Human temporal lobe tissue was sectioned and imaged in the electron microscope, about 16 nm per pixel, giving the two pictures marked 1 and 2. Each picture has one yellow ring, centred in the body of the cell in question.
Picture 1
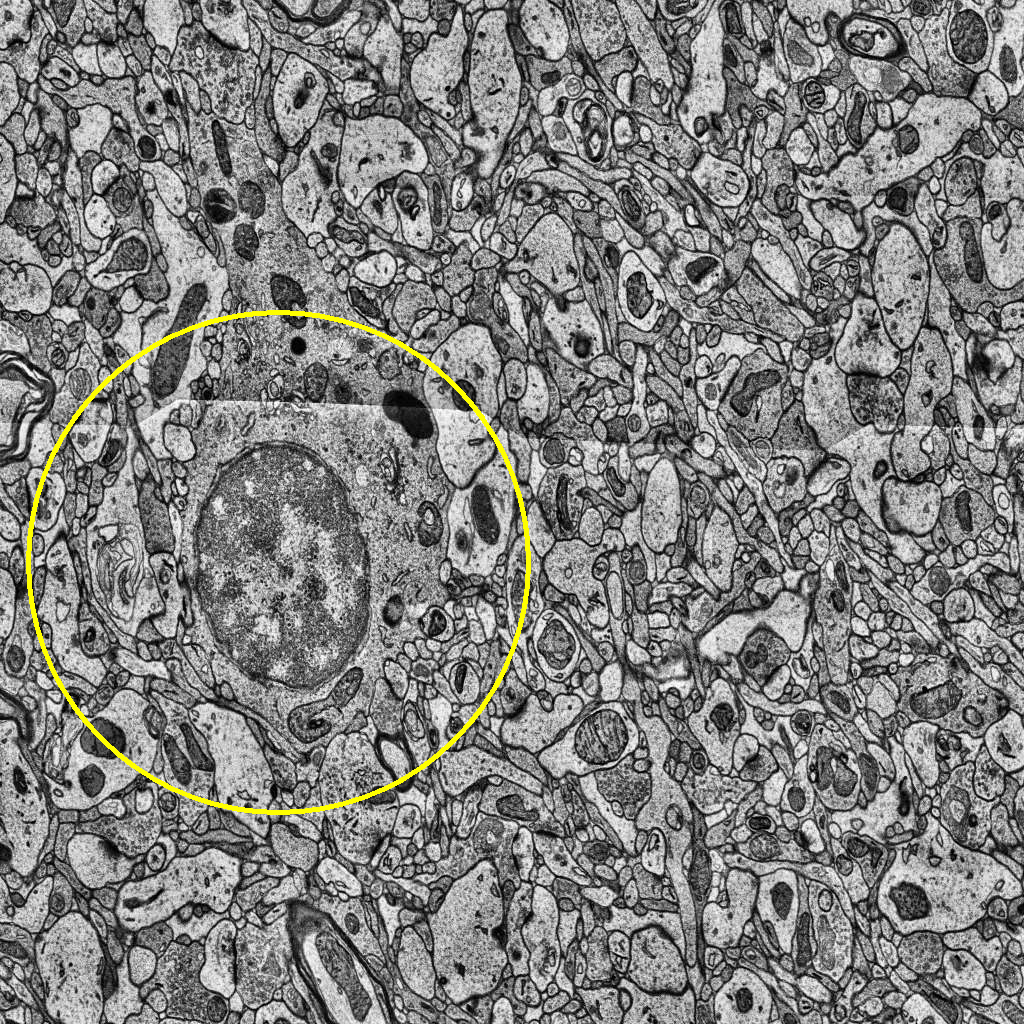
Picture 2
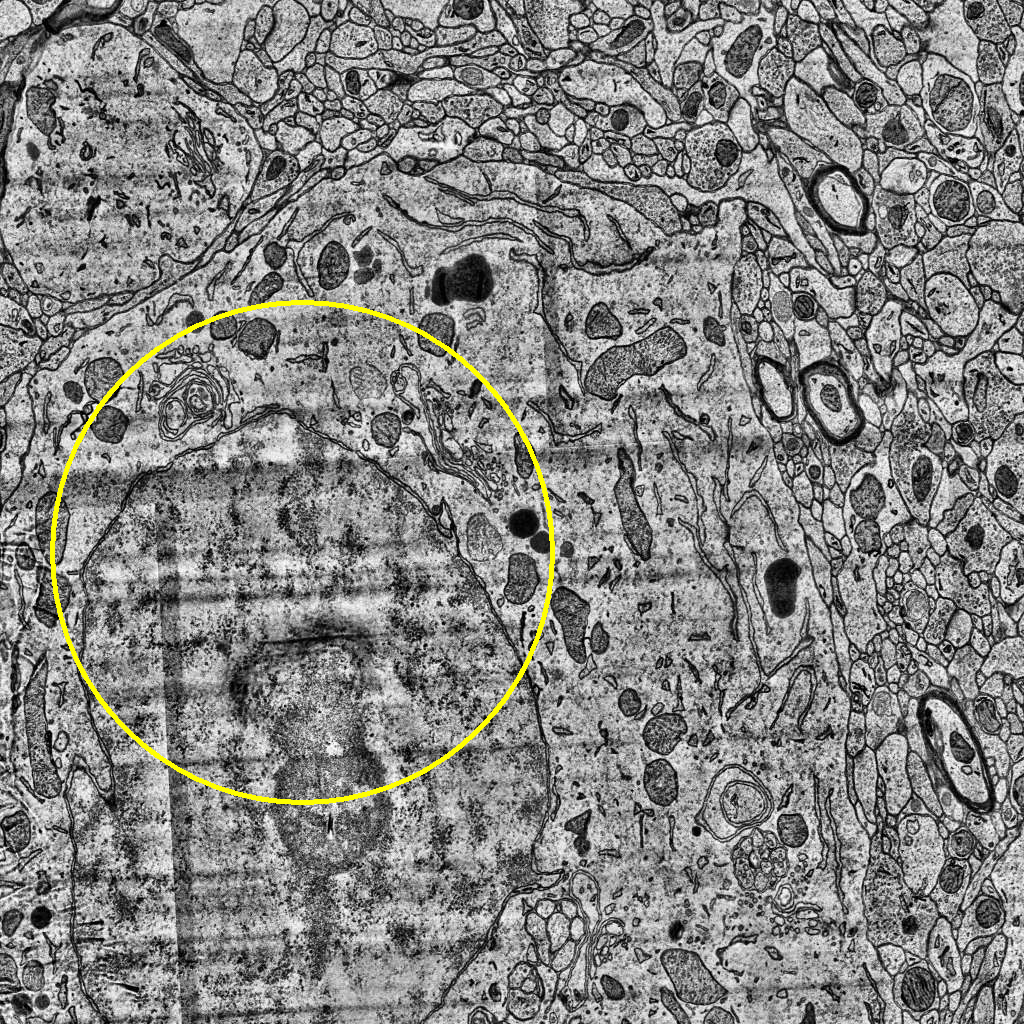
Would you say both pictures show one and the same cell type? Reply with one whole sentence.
No; the cell in picture 1 is an oligodendrocyte, while the one in picture 2 is an interneuron.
